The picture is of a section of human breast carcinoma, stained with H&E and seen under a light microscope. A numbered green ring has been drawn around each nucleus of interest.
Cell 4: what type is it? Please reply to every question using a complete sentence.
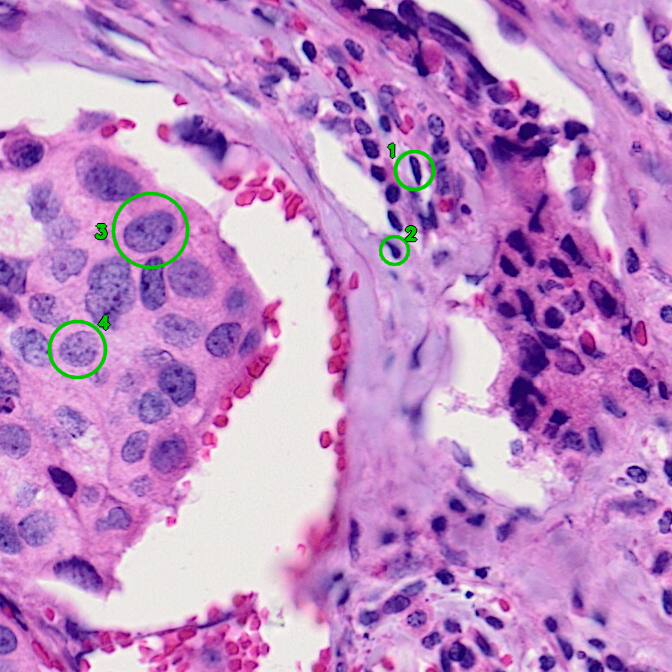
Here, the cell given the number 4 is a carcinoma cell.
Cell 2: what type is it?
The cell pointed out as number 2 is a lymphocyte.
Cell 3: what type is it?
Here the cell numbered 3 is a carcinoma cell.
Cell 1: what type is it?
In the marked set, the cell given number 1 is a lymphocyte.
